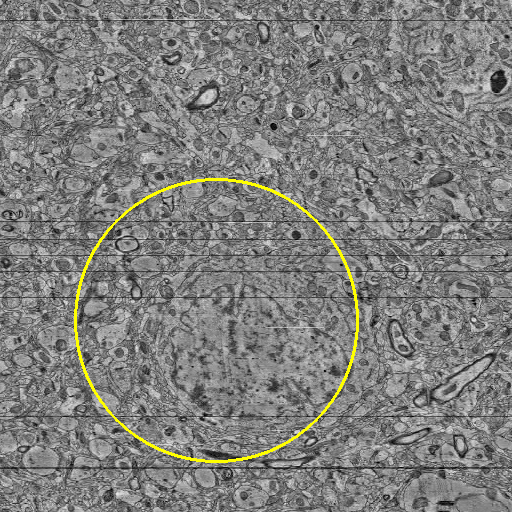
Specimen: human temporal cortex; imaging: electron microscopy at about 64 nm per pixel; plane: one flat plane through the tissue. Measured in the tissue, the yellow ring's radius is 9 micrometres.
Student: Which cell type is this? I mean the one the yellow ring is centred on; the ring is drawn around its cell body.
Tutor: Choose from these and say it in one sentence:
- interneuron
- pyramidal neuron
The cell the ring is centred on is an interneuron.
